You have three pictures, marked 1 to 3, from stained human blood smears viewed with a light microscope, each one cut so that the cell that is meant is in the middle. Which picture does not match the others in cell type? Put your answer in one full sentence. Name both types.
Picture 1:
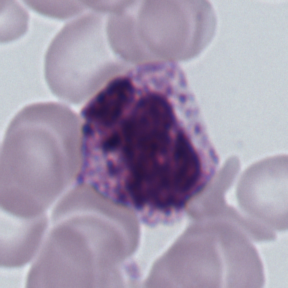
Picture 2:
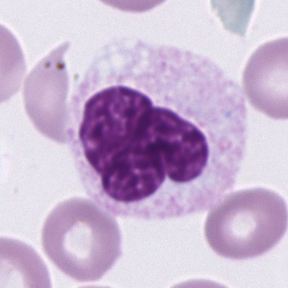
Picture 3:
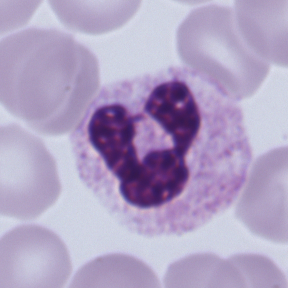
Picture 1 differs, because its cell is a basophil and the rest are segmented neutrophils.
